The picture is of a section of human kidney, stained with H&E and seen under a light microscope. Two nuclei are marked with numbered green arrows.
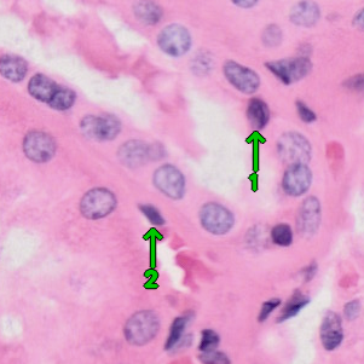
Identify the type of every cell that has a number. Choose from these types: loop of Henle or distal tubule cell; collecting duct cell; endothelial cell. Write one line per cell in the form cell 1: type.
cell 1: collecting duct cell
cell 2: endothelial cell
